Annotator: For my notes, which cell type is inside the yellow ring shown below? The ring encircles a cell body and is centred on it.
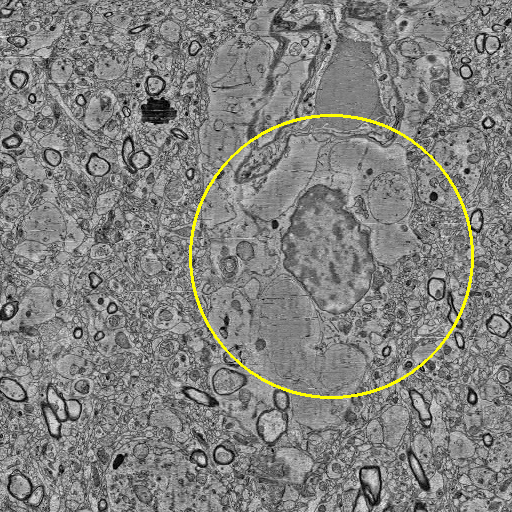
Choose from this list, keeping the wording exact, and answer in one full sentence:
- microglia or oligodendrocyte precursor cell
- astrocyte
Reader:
At the centre of the yellow ring there is a microglial cell or oligodendrocyte precursor cell, as shown in the picture.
